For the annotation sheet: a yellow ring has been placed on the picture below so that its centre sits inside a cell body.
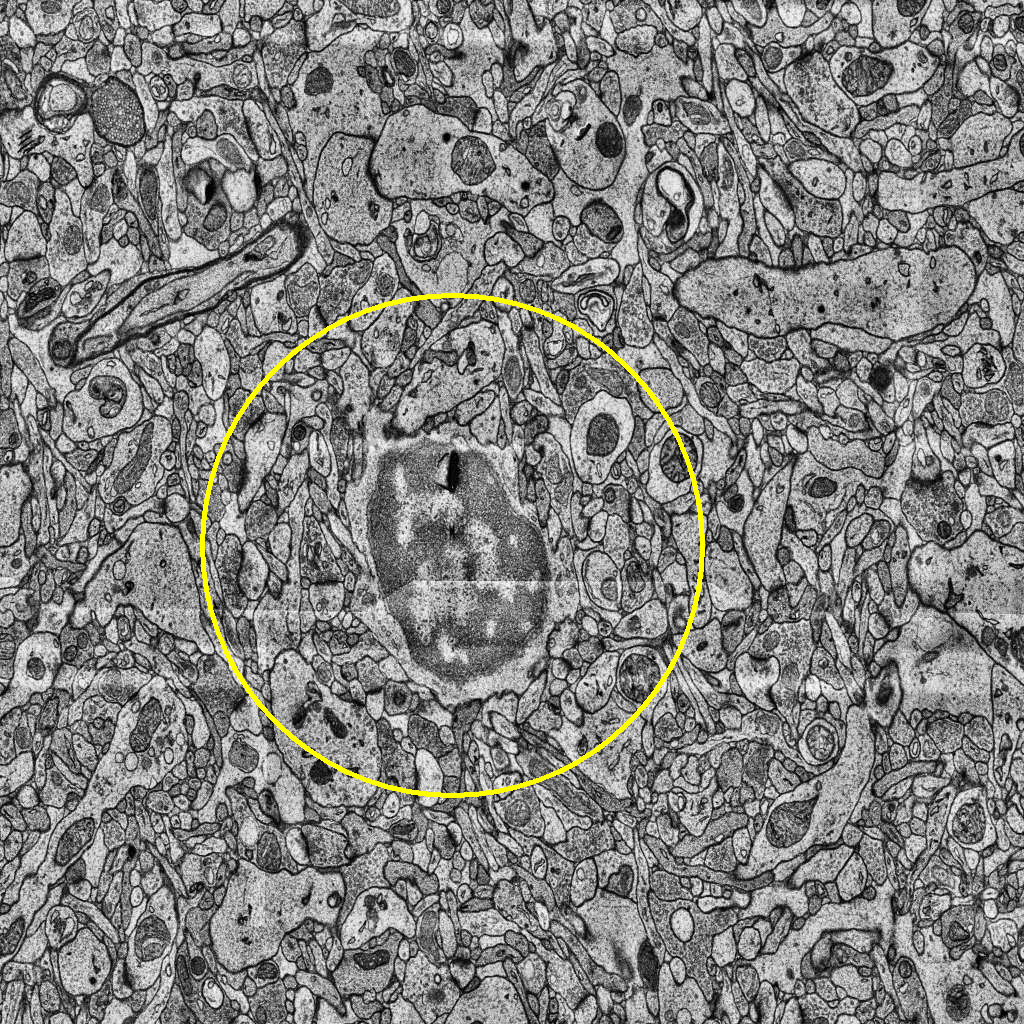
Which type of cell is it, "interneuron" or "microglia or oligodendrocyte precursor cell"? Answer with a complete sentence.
The cell at the ring's centre is a microglial cell or oligodendrocyte precursor cell.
